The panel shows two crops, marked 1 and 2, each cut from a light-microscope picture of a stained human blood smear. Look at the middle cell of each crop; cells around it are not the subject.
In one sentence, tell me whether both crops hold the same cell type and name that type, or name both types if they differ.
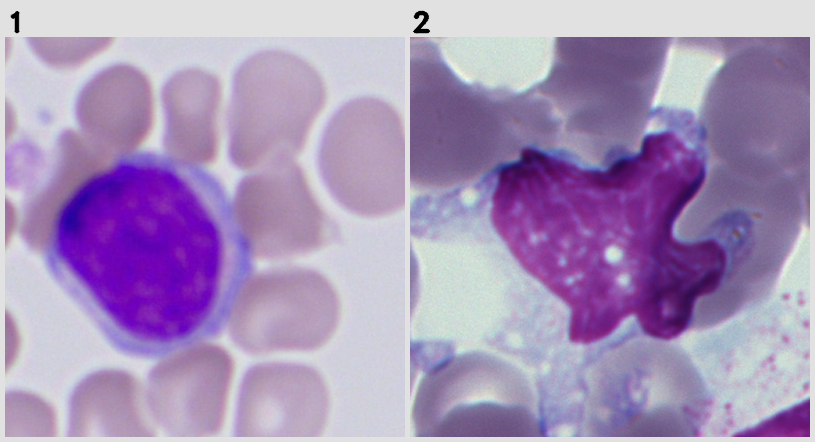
No, the cell of interest in crop 1 is a blast, and in crop 2 it is a monocyte.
